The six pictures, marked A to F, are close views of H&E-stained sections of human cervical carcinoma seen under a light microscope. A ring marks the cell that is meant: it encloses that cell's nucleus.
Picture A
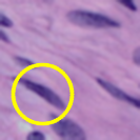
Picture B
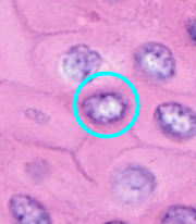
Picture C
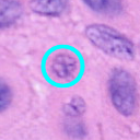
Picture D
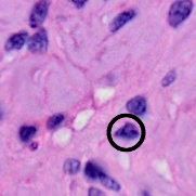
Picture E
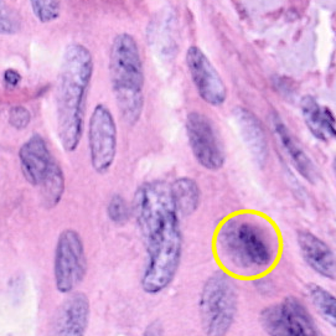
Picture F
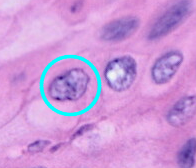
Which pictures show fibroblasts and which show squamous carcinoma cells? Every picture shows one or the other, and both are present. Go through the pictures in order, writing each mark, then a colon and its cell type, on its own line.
A: fibroblast
B: squamous carcinoma cell
C: squamous carcinoma cell
D: fibroblast
E: squamous carcinoma cell
F: squamous carcinoma cell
